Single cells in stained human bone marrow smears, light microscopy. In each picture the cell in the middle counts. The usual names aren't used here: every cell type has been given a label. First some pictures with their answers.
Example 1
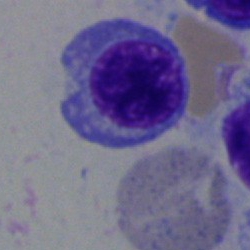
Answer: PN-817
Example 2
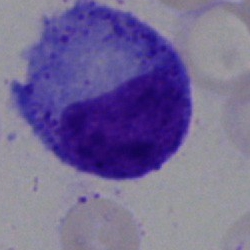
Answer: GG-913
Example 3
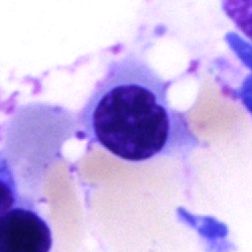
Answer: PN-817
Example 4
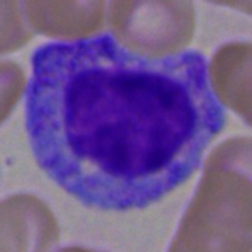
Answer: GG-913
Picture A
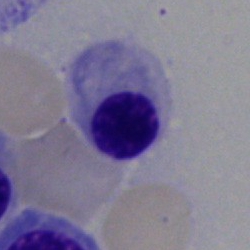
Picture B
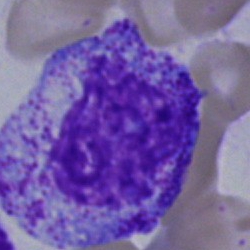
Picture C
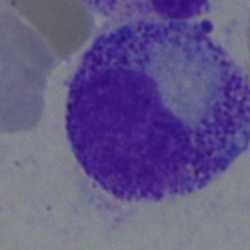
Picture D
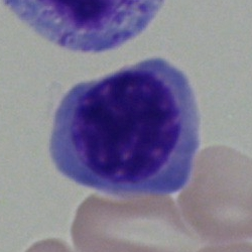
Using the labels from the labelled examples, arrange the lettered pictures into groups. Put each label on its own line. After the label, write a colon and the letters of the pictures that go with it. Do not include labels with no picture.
PN-817: A, D
GG-913: B, C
